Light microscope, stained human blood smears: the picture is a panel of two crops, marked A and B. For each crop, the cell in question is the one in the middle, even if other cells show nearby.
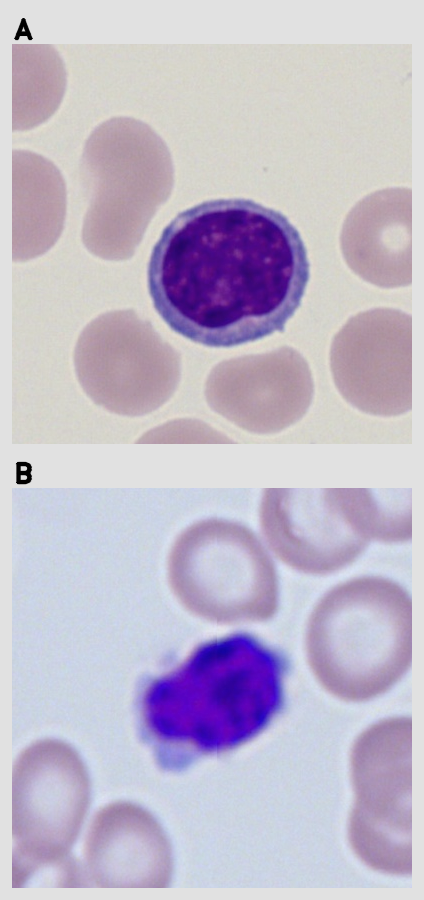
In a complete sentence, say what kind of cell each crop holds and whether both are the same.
Yes, both crops show lymphocytes, and that holds for each one.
